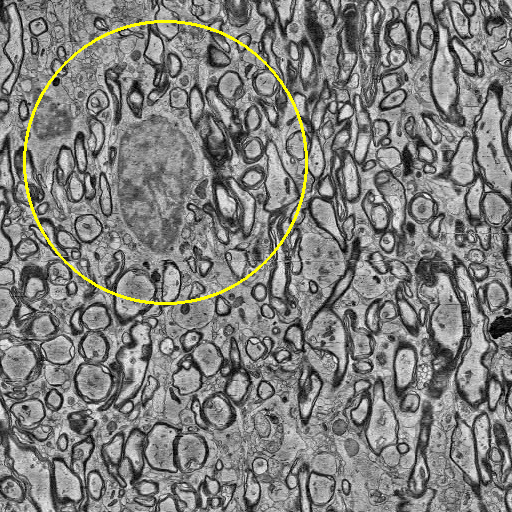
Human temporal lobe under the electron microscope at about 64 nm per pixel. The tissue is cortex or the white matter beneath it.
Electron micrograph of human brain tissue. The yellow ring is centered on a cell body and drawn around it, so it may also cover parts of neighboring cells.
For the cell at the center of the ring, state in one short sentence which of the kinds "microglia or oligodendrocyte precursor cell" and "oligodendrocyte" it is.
This ring is centered on an oligodendrocyte.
